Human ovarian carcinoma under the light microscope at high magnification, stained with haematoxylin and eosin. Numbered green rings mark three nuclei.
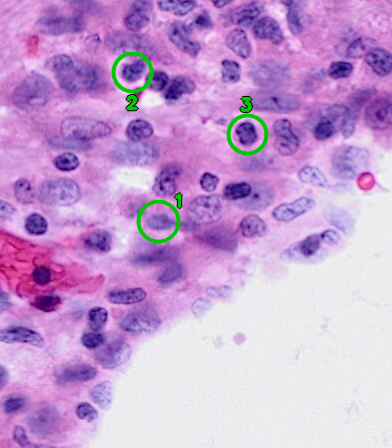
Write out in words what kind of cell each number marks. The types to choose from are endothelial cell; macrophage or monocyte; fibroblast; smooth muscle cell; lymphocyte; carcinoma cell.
Cell 1 is a macrophage or monocyte. Cells 2 and 3 are lymphocytes.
